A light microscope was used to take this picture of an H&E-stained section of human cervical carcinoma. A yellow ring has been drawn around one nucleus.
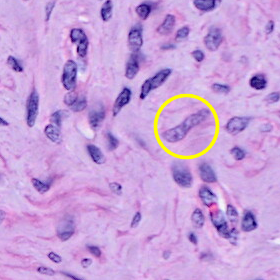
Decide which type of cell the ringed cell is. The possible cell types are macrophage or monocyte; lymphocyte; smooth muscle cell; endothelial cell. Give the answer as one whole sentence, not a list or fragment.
In this section, the ringed cell is a smooth muscle cell.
